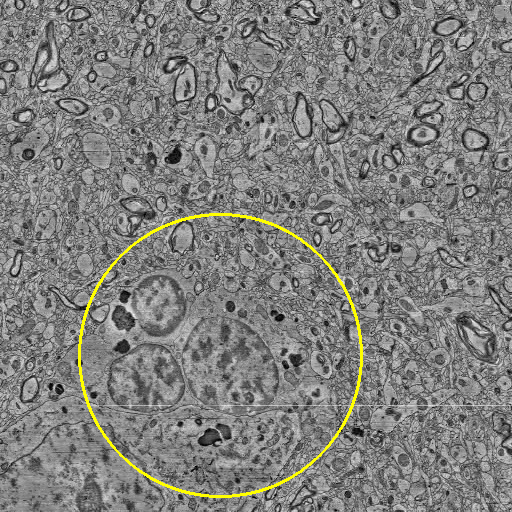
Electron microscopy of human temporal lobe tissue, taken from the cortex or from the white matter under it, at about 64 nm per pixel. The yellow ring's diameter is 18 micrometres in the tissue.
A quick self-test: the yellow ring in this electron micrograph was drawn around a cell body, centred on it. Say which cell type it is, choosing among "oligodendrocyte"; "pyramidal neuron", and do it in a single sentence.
The yellow-ringed cell is an oligodendrocyte.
